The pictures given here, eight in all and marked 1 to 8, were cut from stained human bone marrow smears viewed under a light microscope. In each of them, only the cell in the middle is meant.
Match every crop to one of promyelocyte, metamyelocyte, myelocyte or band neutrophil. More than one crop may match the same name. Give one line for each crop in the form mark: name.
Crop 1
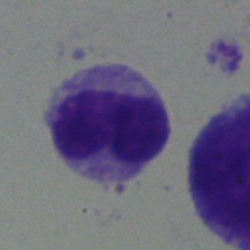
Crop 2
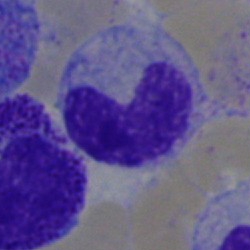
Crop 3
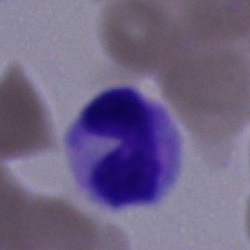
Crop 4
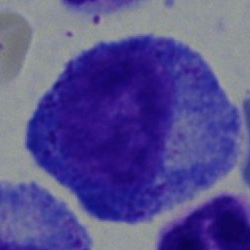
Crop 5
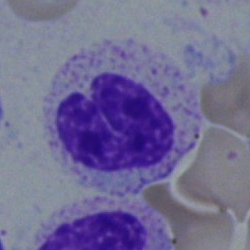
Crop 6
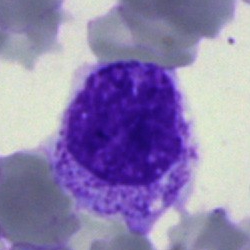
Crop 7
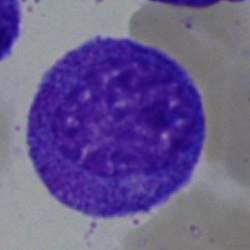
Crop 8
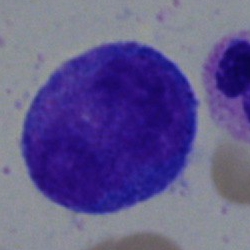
1: metamyelocyte
2: band neutrophil
3: band neutrophil
4: promyelocyte
5: band neutrophil
6: myelocyte
7: promyelocyte
8: promyelocyte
